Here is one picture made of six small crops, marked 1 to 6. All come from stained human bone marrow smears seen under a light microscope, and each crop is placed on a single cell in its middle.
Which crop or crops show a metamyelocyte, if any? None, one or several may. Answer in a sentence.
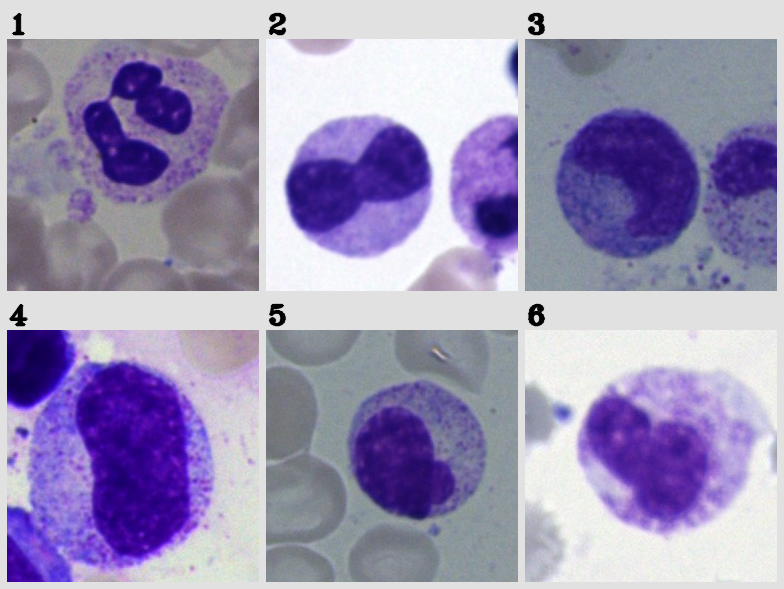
Here, the cells at the centre of crops 2, 3 and 4 are metamyelocytes.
